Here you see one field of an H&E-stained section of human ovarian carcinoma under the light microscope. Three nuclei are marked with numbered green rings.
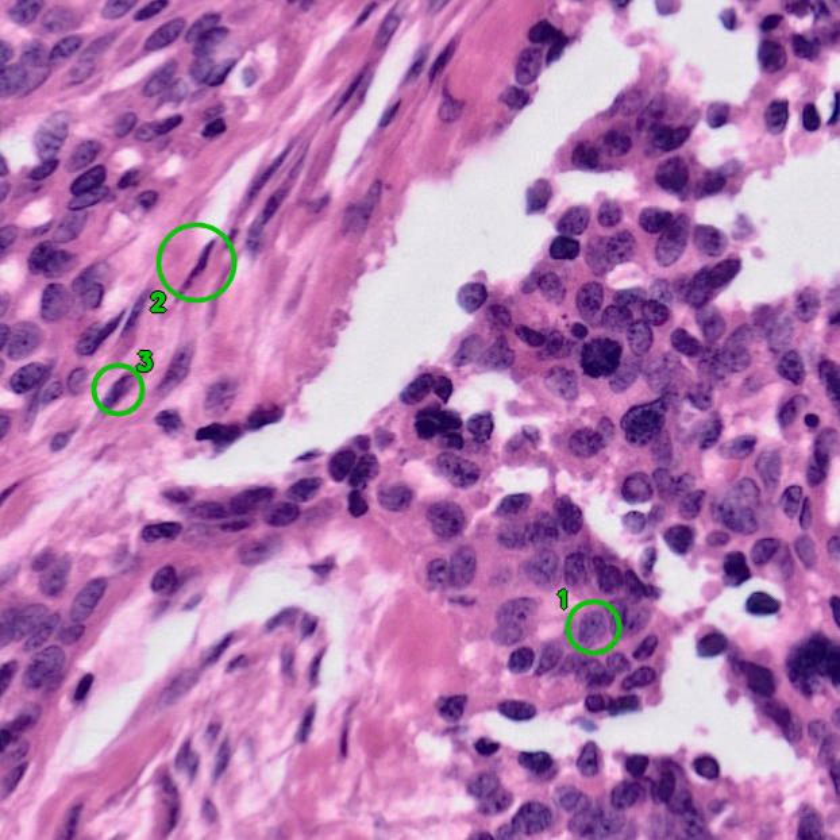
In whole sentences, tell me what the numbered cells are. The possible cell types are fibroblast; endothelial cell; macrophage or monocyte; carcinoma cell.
Cell 1 is a carcinoma cell. Cells 2 and 3 are fibroblasts.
